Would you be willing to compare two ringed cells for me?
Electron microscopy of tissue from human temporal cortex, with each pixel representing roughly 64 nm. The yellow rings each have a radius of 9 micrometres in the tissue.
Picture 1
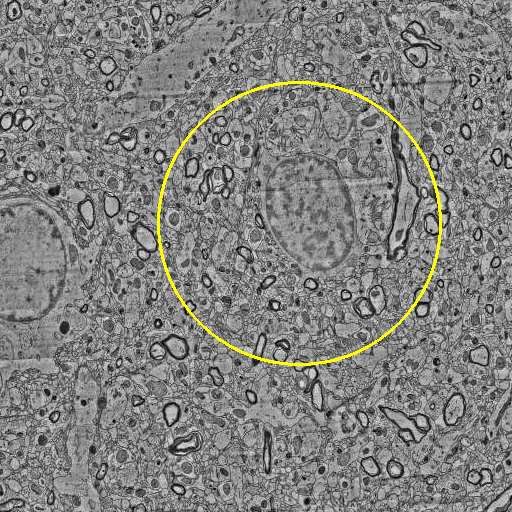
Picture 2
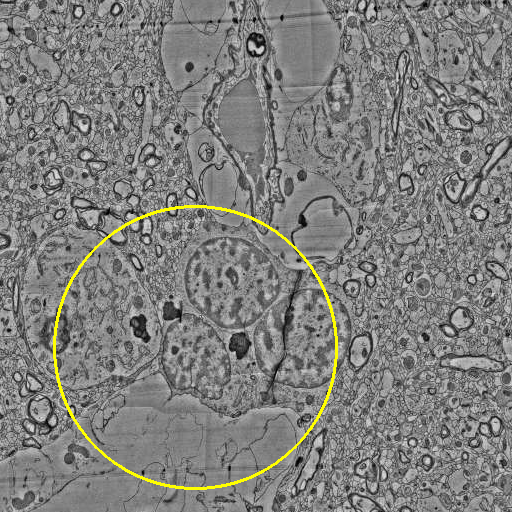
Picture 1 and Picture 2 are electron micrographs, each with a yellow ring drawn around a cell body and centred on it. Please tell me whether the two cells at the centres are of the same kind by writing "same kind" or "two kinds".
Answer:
same kind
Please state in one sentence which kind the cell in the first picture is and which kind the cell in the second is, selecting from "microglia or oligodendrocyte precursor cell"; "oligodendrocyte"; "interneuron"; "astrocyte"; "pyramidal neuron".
The cell at the ring centre is an oligodendrocyte in both pictures.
